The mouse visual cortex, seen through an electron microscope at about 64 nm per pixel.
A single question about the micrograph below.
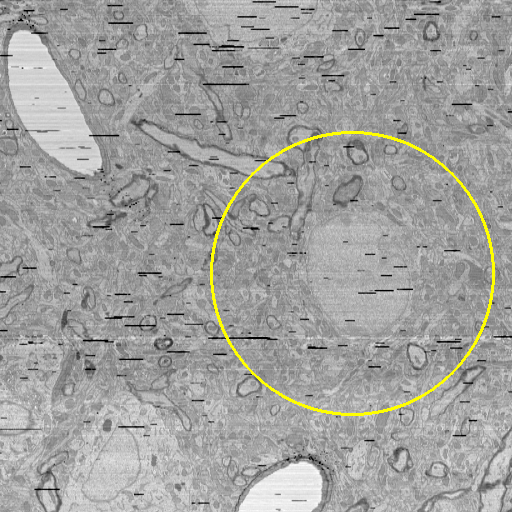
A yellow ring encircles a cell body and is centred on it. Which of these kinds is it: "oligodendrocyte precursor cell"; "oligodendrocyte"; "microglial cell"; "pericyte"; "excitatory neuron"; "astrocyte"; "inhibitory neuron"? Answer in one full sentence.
The cell body at the centre of the yellow ring belongs to an astrocyte.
